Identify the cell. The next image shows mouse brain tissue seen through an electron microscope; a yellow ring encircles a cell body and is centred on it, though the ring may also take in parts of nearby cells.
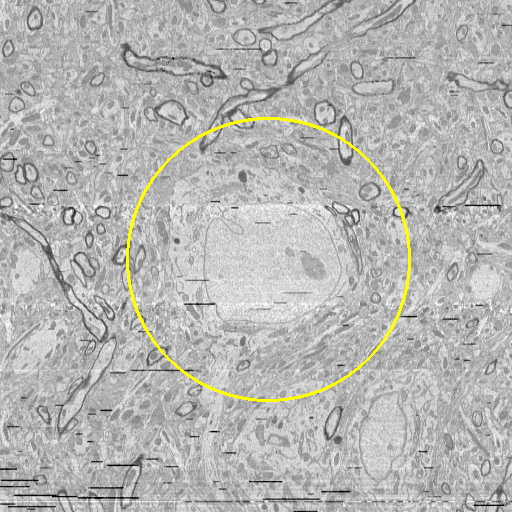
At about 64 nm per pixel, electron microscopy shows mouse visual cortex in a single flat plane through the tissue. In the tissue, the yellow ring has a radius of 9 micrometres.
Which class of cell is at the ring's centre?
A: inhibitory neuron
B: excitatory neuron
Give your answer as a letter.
B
